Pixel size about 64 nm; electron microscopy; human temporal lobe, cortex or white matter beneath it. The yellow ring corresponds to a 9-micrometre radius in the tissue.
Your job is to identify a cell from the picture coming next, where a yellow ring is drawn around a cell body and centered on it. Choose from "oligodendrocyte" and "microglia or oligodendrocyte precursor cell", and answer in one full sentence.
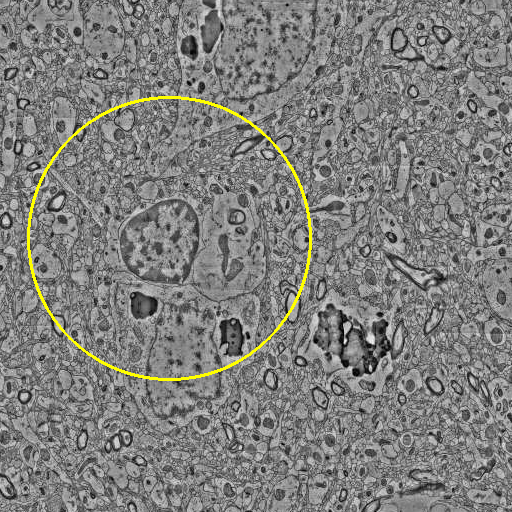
Centered in the yellow ring of the picture is the body of a microglial cell or oligodendrocyte precursor cell.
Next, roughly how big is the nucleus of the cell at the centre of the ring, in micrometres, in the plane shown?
In this plane, the nucleus measures approximately 5 micrometres across.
